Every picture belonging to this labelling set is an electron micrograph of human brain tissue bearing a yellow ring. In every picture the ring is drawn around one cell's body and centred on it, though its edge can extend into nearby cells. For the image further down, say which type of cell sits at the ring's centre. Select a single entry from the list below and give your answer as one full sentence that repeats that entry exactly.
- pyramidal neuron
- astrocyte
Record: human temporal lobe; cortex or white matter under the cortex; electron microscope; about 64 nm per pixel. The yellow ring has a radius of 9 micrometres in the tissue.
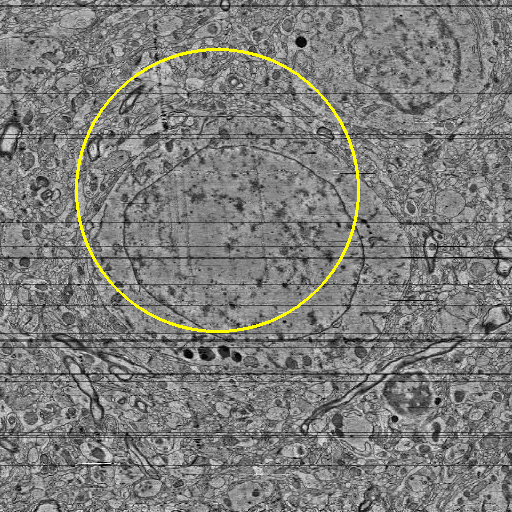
In the picture, a pyramidal neuron is the cell at the centre of the yellow ring.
